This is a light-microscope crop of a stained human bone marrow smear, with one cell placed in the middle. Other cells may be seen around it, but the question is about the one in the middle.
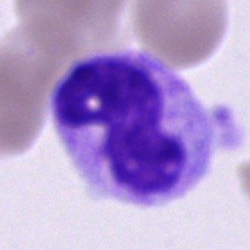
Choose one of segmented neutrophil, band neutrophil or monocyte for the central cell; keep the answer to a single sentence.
The central cell shown in this smear crop is a band neutrophil.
